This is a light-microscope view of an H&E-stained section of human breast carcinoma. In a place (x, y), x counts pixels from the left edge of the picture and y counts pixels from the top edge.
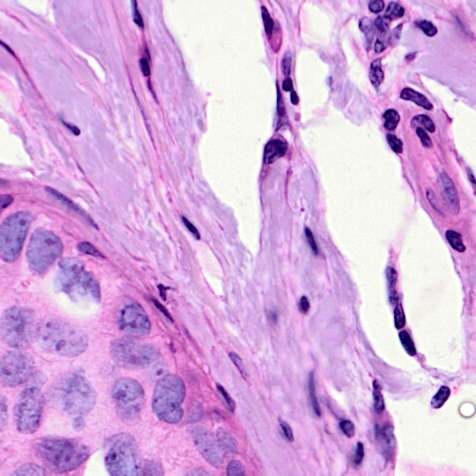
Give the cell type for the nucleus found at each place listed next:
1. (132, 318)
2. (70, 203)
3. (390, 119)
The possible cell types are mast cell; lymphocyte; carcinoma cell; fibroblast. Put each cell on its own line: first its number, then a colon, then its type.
1: carcinoma cell
2: fibroblast
3: lymphocyte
